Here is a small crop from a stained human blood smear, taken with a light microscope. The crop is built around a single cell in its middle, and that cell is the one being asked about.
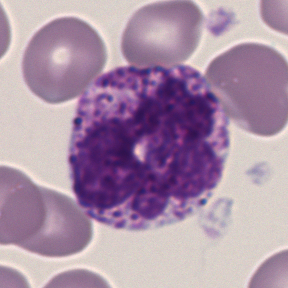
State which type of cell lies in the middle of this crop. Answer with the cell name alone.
basophil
